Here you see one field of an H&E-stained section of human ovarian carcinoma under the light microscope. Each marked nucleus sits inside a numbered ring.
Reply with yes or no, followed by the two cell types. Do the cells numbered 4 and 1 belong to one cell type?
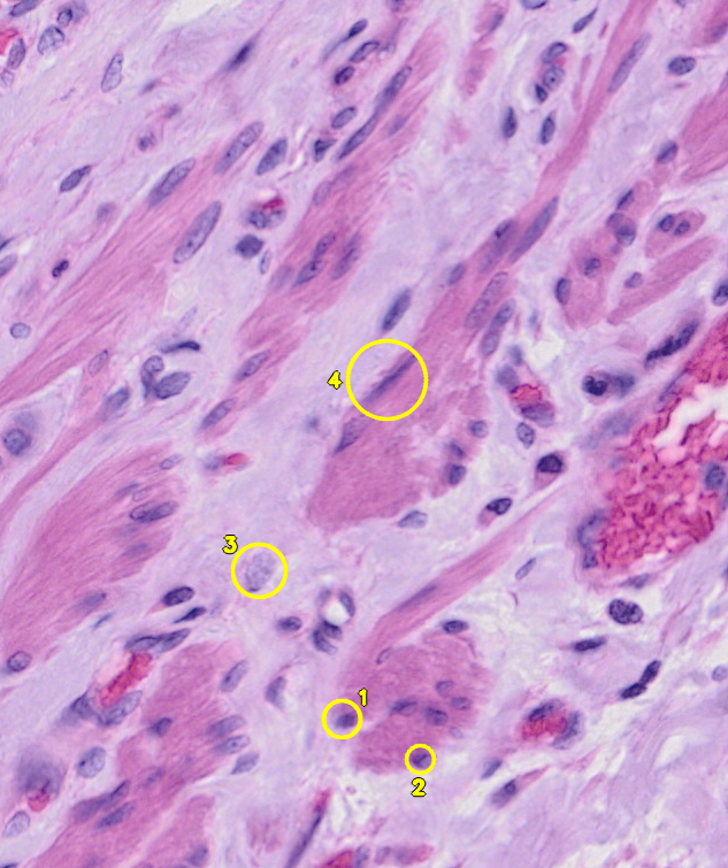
Yes, both are smooth muscle cells.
